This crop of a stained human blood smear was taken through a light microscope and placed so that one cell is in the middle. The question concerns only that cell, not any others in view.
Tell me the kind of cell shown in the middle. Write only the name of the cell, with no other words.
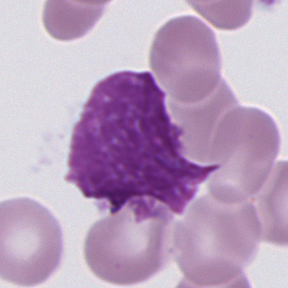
smudge cell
